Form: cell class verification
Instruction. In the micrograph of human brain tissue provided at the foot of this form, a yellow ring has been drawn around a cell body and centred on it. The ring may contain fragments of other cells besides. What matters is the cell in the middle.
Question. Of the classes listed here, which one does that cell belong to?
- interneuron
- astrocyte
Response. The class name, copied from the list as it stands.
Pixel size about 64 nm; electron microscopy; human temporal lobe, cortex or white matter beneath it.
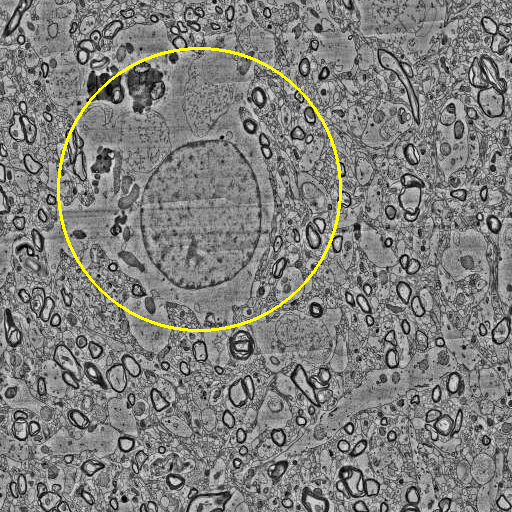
astrocyte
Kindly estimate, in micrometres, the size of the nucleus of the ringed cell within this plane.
The nucleus measures about 10 by 8 micrometres in this plane.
